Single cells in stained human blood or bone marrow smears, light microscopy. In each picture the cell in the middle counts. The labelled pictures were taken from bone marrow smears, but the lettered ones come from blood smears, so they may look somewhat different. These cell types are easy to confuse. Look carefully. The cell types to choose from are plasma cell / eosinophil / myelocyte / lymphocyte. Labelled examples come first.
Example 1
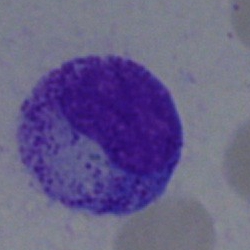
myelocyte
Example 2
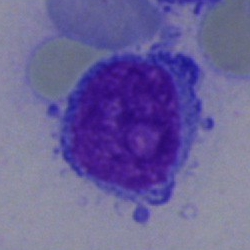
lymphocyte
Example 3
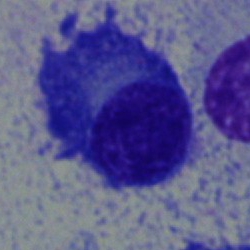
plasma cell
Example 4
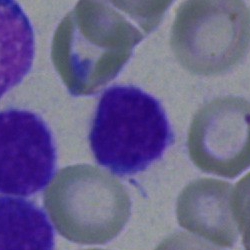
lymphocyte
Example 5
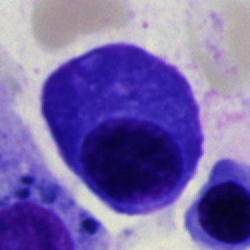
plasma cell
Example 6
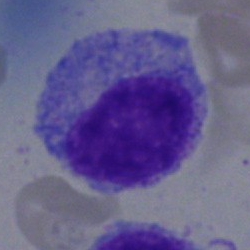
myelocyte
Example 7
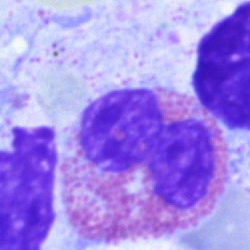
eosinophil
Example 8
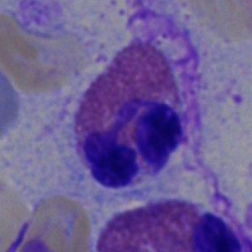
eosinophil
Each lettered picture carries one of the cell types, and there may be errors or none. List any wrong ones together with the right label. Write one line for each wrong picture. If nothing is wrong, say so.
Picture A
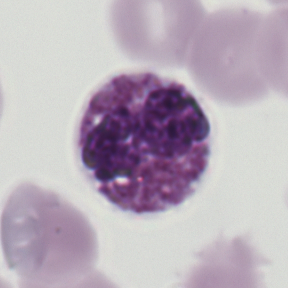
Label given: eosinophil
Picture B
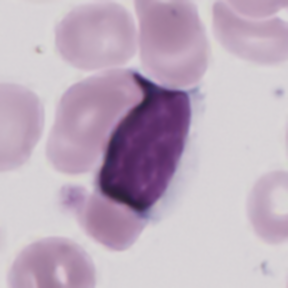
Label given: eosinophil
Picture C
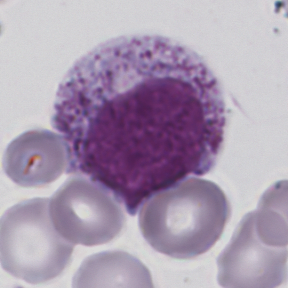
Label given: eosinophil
Wrong: B (eosinophil); correct: lymphocyte
Wrong: C (eosinophil); correct: myelocyte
